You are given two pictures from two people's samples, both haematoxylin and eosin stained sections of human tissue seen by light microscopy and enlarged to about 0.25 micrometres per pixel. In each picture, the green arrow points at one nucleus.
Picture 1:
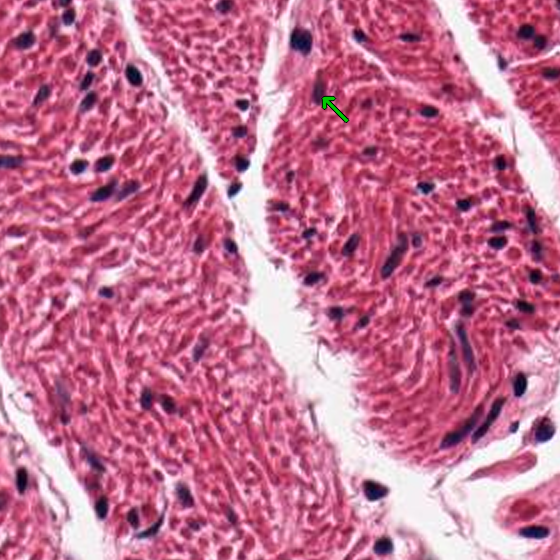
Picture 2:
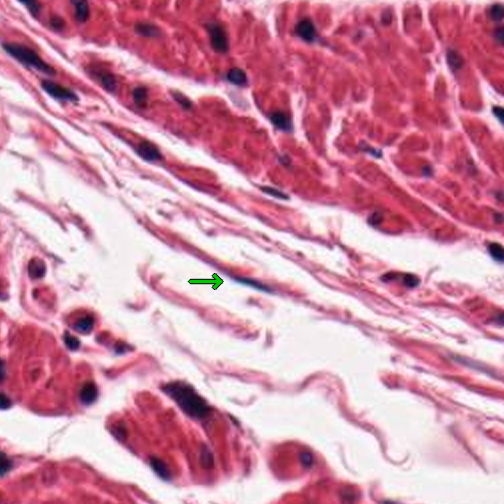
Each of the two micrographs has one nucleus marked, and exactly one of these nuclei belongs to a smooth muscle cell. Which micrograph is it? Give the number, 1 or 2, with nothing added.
1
